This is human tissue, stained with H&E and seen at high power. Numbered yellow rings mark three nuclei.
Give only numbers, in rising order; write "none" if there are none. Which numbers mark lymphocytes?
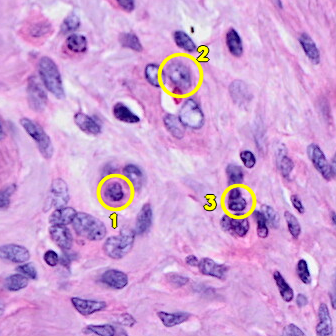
3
